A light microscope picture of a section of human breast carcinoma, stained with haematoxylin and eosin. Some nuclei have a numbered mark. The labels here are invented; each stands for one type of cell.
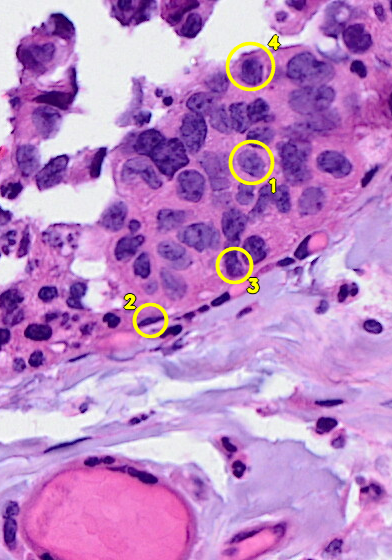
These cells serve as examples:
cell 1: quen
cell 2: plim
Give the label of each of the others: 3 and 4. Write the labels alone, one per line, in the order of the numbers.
quen
quen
